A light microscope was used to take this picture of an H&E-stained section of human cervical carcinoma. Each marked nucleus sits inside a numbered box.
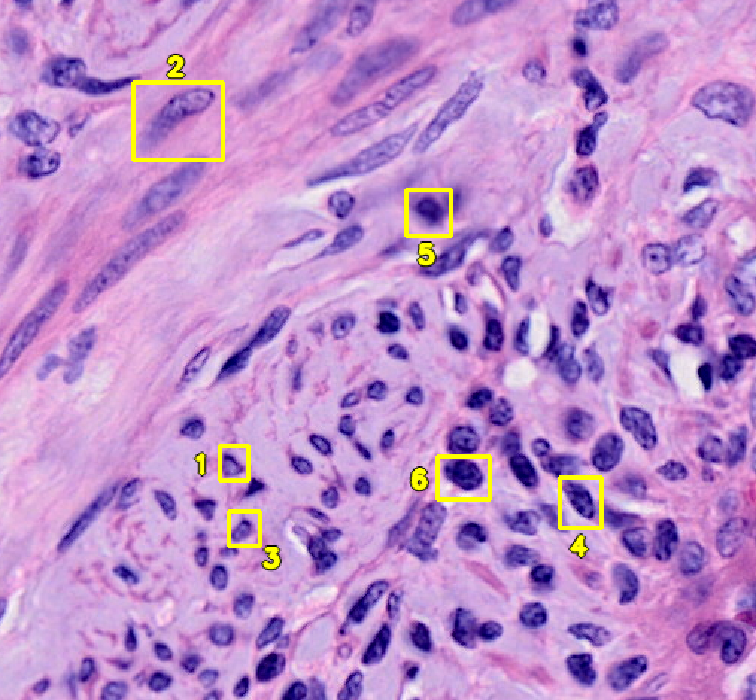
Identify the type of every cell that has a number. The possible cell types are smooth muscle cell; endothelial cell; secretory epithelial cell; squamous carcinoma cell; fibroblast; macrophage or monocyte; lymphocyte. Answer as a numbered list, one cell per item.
1. smooth muscle cell
2. smooth muscle cell
3. smooth muscle cell
4. lymphocyte
5. lymphocyte
6. lymphocyte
